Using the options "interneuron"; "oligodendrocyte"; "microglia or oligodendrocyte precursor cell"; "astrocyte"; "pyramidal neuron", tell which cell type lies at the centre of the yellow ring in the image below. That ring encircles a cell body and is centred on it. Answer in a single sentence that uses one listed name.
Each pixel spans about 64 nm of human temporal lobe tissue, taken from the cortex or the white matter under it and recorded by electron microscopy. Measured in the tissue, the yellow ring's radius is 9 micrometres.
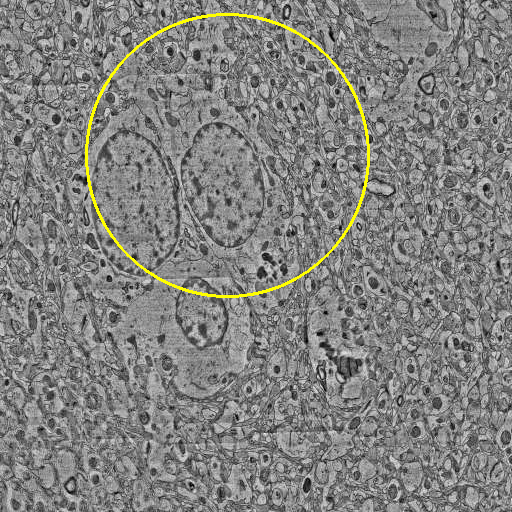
At the centre of the yellow ring lies the body of an astrocyte.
